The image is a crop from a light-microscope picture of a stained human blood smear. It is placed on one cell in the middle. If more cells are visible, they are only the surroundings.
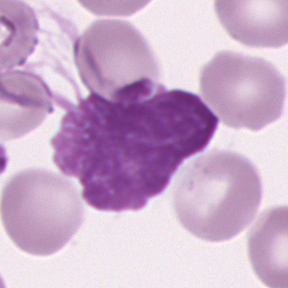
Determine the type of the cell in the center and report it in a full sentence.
By type, the central cell of the crop is a smudge cell.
